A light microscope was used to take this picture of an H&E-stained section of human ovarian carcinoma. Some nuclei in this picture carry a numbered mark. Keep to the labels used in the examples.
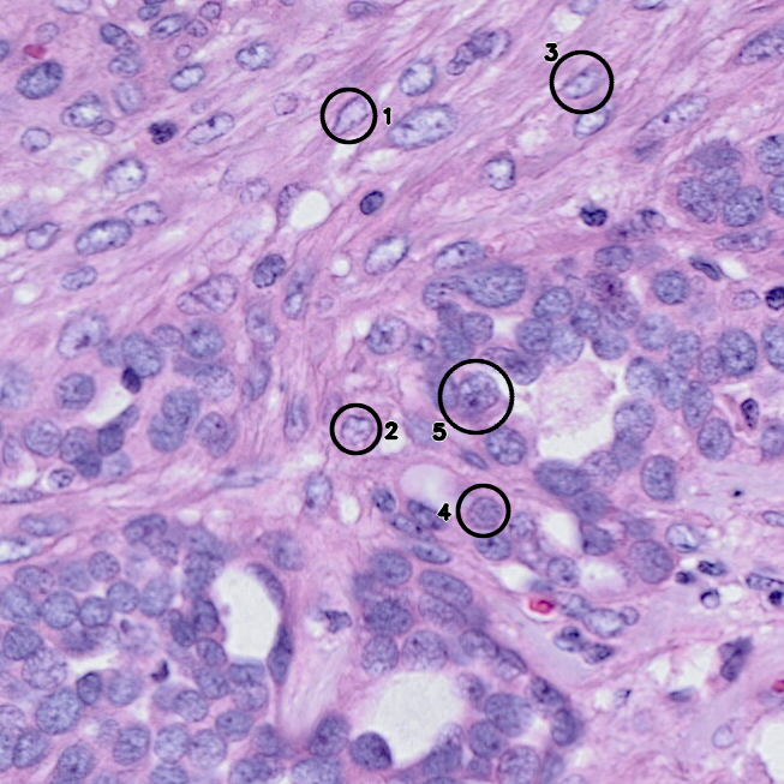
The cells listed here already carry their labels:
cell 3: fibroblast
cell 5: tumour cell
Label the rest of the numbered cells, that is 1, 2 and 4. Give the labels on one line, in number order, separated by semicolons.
fibroblast; fibroblast; tumour cell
